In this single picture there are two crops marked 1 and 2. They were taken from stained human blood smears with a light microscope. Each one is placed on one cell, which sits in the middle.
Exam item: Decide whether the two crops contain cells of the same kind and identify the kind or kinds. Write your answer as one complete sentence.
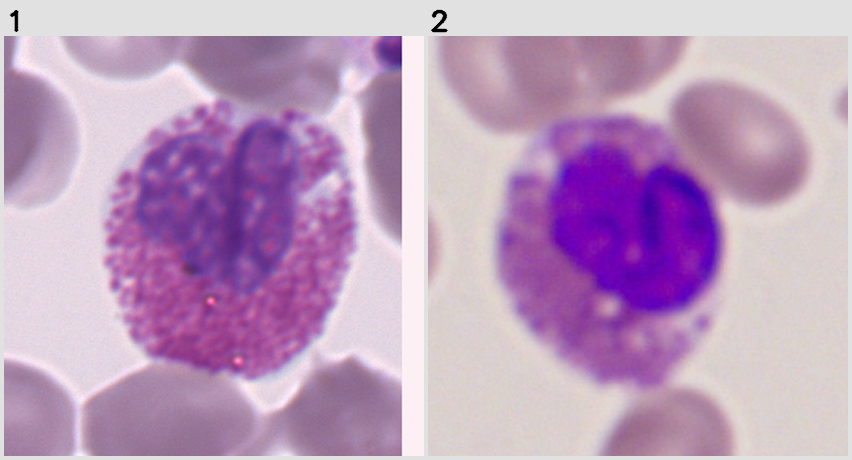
Yes, both the first crop and the second crop show eosinophils.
